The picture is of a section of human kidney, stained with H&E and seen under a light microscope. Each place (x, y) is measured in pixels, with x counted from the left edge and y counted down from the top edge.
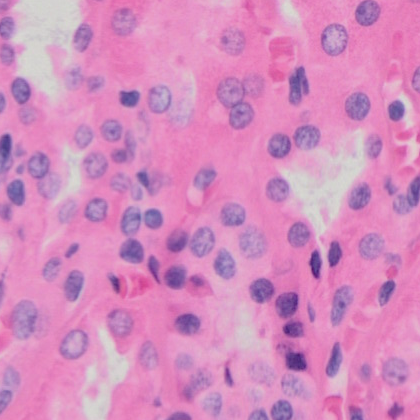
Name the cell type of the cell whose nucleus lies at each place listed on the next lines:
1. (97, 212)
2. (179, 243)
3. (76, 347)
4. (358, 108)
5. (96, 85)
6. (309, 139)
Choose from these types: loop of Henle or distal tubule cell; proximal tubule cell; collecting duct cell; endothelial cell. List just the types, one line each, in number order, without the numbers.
loop of Henle or distal tubule cell
collecting duct cell
proximal tubule cell
loop of Henle or distal tubule cell
loop of Henle or distal tubule cell
loop of Henle or distal tubule cell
